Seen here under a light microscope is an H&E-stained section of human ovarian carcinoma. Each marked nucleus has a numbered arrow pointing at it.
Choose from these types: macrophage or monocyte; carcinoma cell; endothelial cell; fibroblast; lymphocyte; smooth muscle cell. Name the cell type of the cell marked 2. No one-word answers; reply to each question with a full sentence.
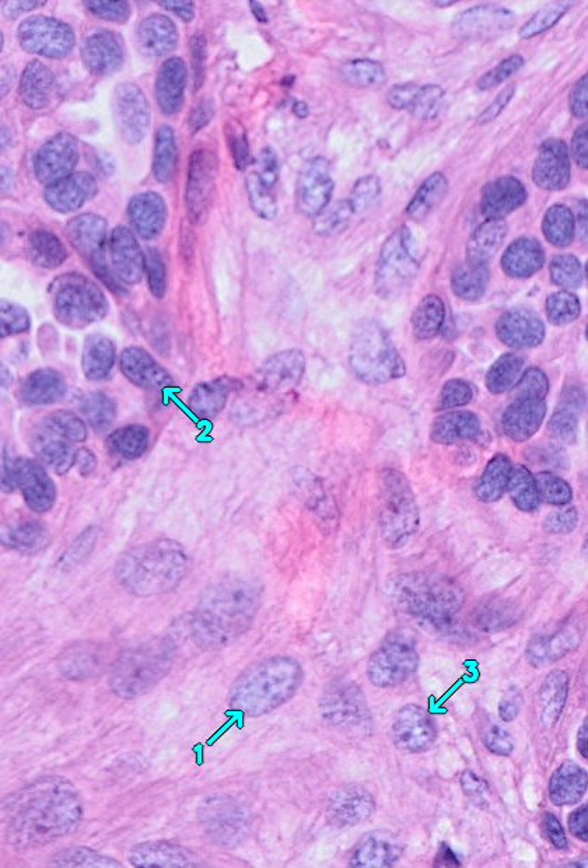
The marked cell with the number 2 is recognised as a carcinoma cell.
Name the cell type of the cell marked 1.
Identified as a fibroblast is the cell bearing the number 1.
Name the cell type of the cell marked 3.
The cell given label 3 is a fibroblast.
